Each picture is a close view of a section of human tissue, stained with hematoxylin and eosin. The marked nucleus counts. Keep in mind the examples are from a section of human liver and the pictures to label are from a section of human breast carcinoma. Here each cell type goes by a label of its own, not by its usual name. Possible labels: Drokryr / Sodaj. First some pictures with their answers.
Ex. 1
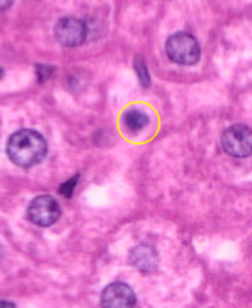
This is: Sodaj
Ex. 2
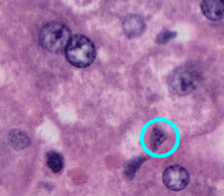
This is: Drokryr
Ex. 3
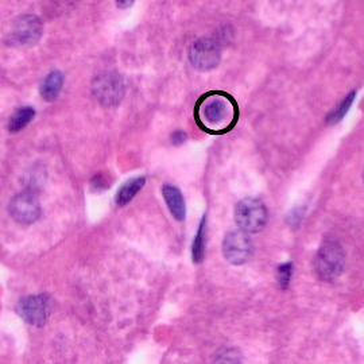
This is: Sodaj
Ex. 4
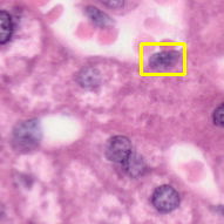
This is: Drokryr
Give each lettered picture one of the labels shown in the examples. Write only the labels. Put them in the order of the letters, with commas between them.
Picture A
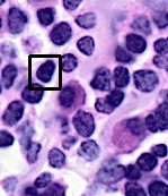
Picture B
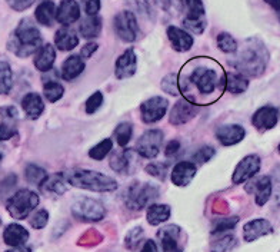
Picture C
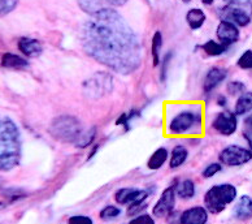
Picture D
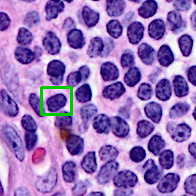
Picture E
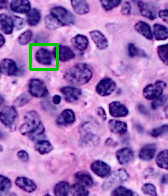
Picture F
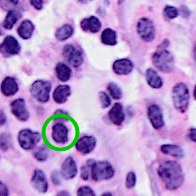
Sodaj, Sodaj, Sodaj, Sodaj, Sodaj, Sodaj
